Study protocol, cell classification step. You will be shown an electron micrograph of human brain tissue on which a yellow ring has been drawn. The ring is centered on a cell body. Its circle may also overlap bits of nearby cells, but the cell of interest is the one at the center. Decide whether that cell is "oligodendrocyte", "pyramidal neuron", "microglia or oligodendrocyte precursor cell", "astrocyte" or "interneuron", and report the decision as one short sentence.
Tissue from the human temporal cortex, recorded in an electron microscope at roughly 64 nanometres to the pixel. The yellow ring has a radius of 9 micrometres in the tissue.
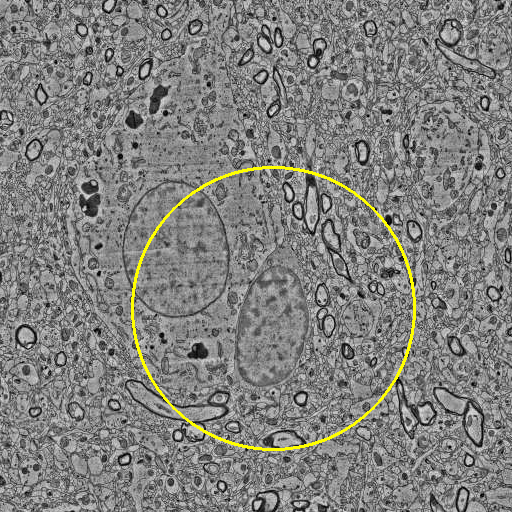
The marked cell is an oligodendrocyte.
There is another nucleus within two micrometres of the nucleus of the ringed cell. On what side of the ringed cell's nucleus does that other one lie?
That other nucleus appears to the upper left of it.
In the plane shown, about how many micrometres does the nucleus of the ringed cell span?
The ringed cell's nucleus is roughly 7 by 5 micrometres and clearly longer than it is wide in this plane.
